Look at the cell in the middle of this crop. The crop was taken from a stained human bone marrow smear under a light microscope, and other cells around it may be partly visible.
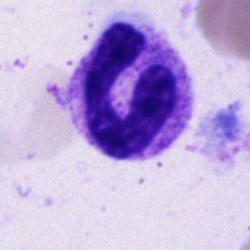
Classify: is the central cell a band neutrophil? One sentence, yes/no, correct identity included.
Yes, the centered cell in this field is a band neutrophil.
